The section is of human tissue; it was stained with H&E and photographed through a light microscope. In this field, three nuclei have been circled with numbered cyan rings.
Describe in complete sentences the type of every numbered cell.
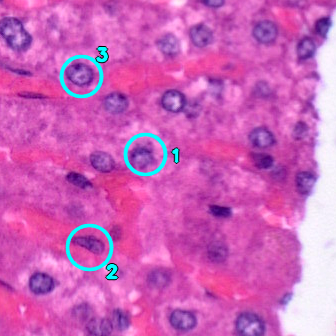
Cells 1 and 3 are hepatocytes. Cell 2 is a Kupffer cell.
